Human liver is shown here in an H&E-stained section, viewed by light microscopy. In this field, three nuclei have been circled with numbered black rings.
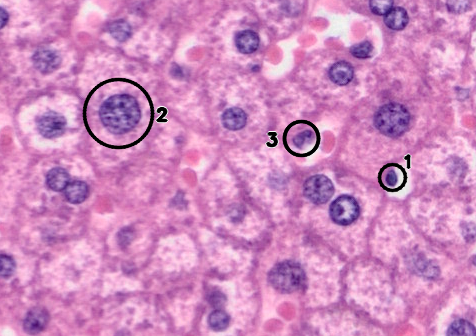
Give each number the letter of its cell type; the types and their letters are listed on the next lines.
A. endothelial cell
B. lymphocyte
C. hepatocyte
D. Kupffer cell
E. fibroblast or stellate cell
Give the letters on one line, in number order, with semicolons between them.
B; C; D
